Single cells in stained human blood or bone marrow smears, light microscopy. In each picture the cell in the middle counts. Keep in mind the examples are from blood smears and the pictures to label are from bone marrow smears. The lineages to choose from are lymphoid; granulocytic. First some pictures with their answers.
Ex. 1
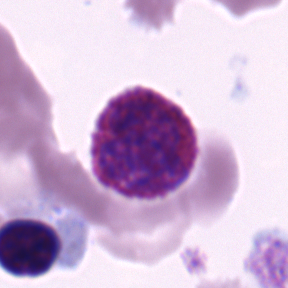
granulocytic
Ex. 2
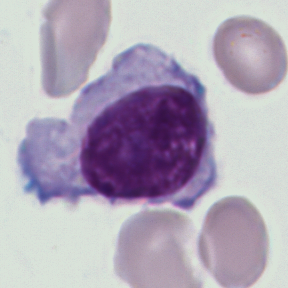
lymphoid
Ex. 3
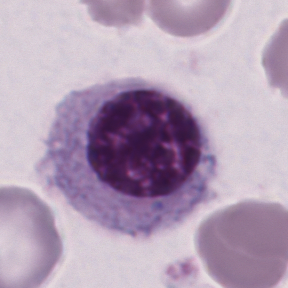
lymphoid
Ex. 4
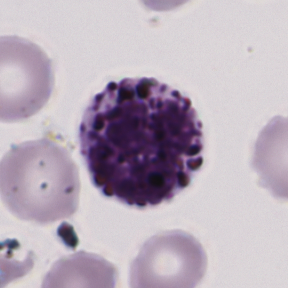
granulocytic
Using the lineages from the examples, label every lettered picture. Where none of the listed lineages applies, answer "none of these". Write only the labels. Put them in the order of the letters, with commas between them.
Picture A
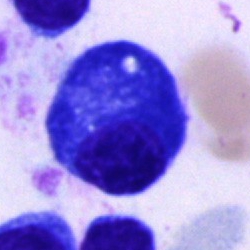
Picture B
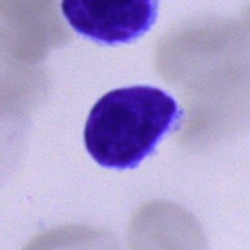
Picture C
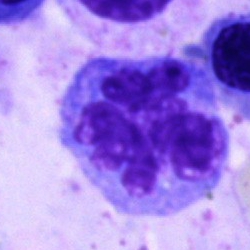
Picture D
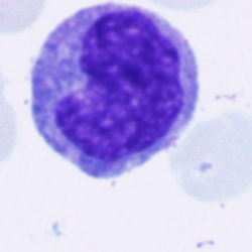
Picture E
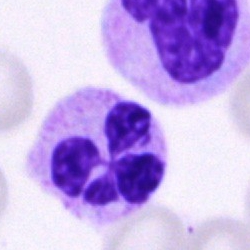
lymphoid, lymphoid, none of these, none of these, granulocytic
